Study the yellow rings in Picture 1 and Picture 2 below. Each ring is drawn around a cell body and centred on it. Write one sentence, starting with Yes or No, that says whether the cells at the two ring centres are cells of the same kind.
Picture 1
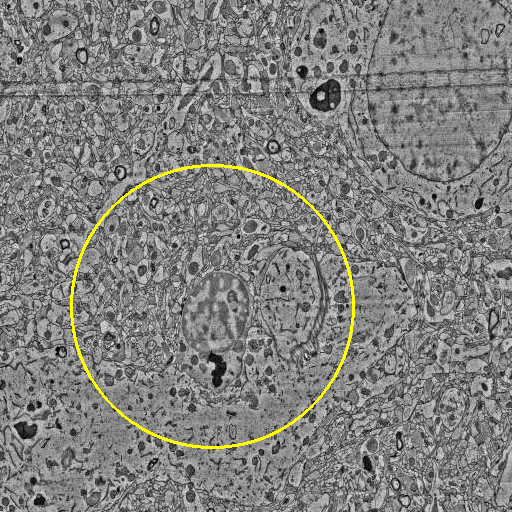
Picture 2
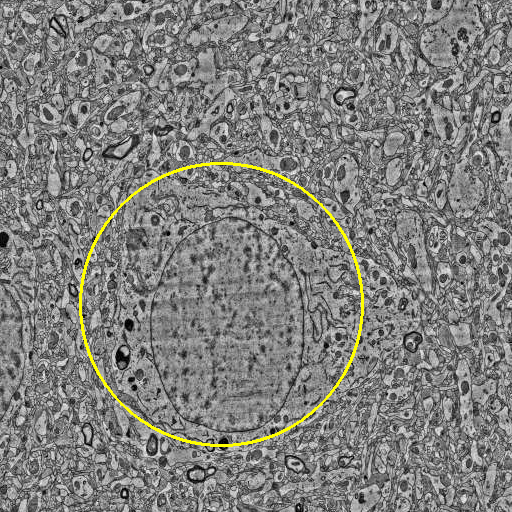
No, the cells at the ring centres are of two kinds.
